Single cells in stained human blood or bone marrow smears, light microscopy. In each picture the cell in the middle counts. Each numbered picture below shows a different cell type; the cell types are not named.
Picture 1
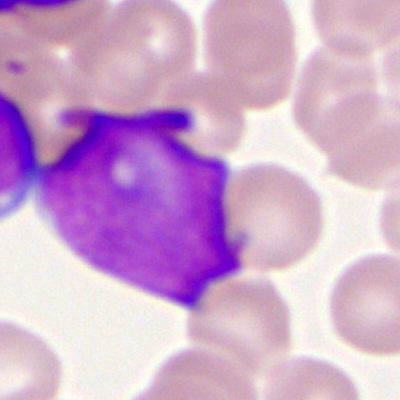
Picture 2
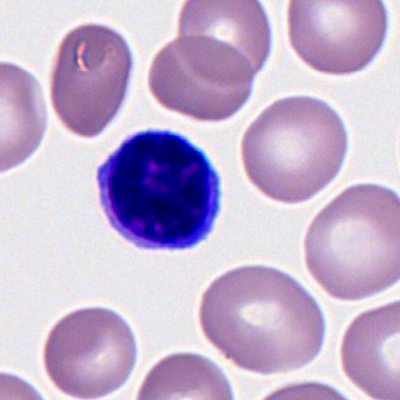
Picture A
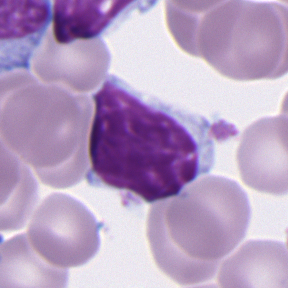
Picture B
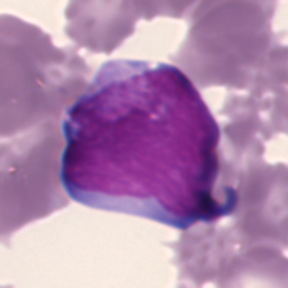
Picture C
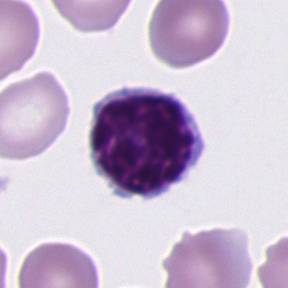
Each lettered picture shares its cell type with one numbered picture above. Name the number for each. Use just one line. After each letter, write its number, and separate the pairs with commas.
A 2, B 1, C 2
